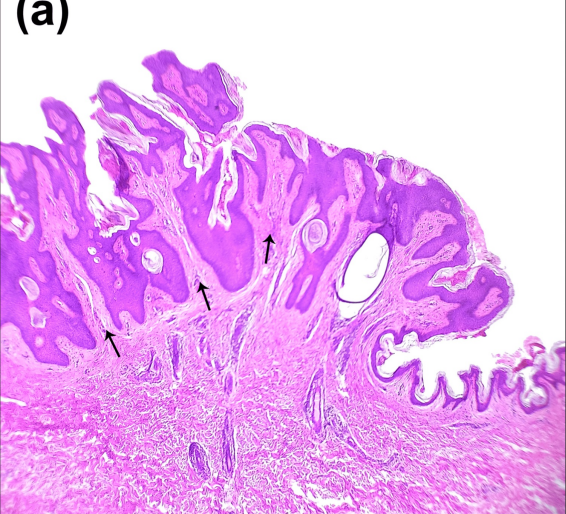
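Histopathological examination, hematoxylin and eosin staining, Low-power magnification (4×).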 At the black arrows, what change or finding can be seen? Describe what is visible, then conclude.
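The epithelium is thrown up into many tall finger-like projections. Thin cores of pink connective tissue run up between the projections. The surface is undulating and spiky rather than flat.
Hence: papillomatosis.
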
